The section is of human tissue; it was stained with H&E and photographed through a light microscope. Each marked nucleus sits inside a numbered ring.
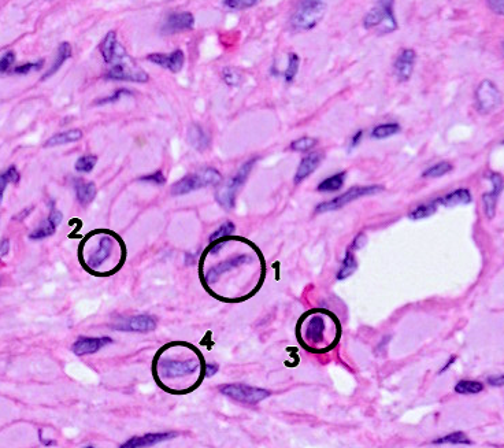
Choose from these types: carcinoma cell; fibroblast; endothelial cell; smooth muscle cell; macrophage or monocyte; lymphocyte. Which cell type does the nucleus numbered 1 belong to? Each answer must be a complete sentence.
It is as a fibroblast that the cell numbered 1 is identified.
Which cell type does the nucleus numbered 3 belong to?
Classified as a lymphocyte is the cell with the number 3.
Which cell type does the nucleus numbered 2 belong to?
The numeral 2 marks a fibroblast in this section.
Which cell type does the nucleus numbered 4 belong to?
The nucleus marked 4 is the nucleus of a fibroblast.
